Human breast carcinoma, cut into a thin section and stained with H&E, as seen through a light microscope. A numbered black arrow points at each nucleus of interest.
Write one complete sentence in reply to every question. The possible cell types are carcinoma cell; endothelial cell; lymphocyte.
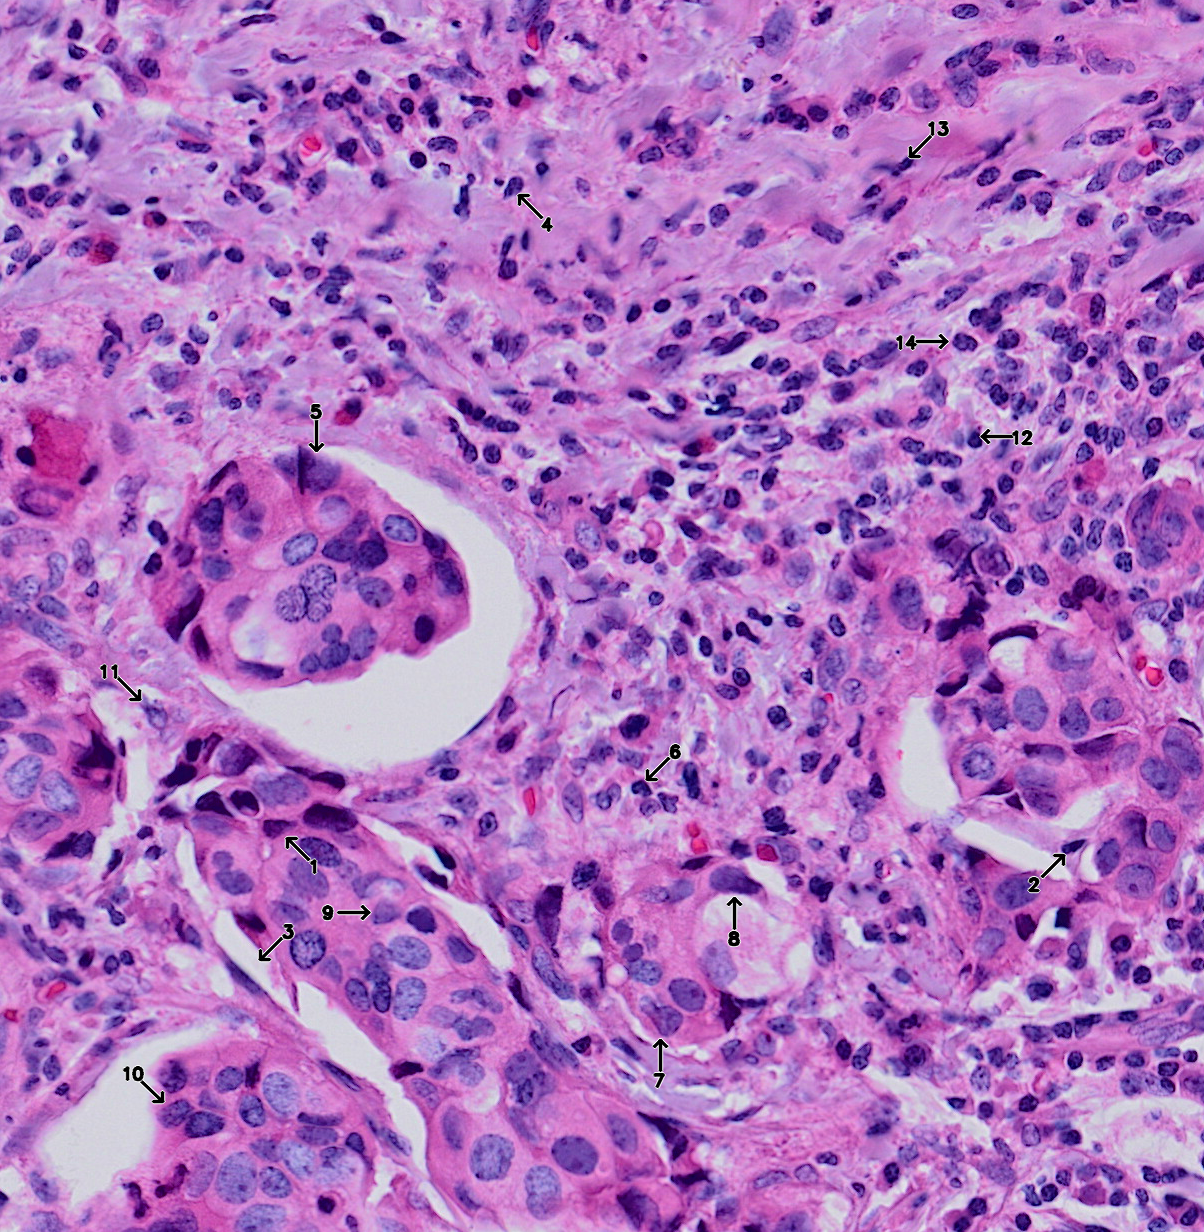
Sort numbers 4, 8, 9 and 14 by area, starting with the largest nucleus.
From largest to smallest, the order is 8, 9, 14, 4.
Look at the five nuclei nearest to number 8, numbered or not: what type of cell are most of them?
The majority of the five nuclei closest to number 8 belong to endothelial cells.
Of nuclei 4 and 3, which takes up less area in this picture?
Number 4 is smaller, since number 3 takes up about 1.5 times as much area.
